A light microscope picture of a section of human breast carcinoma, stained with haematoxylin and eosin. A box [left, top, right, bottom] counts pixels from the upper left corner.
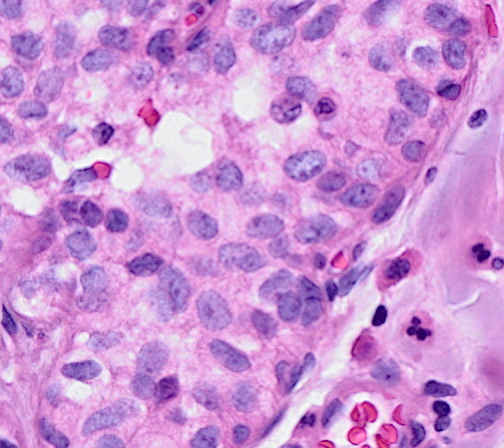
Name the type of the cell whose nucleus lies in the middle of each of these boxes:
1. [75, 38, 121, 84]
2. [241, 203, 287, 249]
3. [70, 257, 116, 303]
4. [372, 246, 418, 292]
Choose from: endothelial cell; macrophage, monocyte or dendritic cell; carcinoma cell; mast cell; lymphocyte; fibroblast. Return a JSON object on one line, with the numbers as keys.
{"1": "carcinoma cell", "2": "carcinoma cell", "3": "carcinoma cell", "4": "mast cell"}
